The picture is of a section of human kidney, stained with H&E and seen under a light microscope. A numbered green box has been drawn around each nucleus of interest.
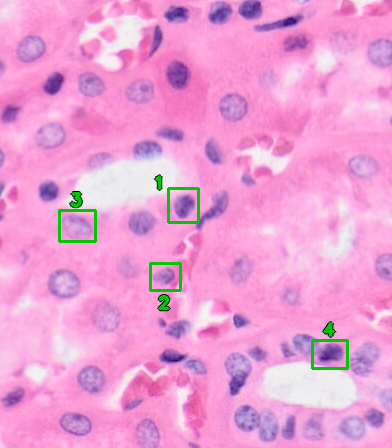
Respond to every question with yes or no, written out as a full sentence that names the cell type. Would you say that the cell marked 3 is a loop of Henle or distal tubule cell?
Yes, number 3 in this section denotes a loop of Henle or distal tubule cell.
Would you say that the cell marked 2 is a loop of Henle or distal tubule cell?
No, the cell labelled 2 is an endothelial cell and not a loop of Henle or distal tubule cell.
